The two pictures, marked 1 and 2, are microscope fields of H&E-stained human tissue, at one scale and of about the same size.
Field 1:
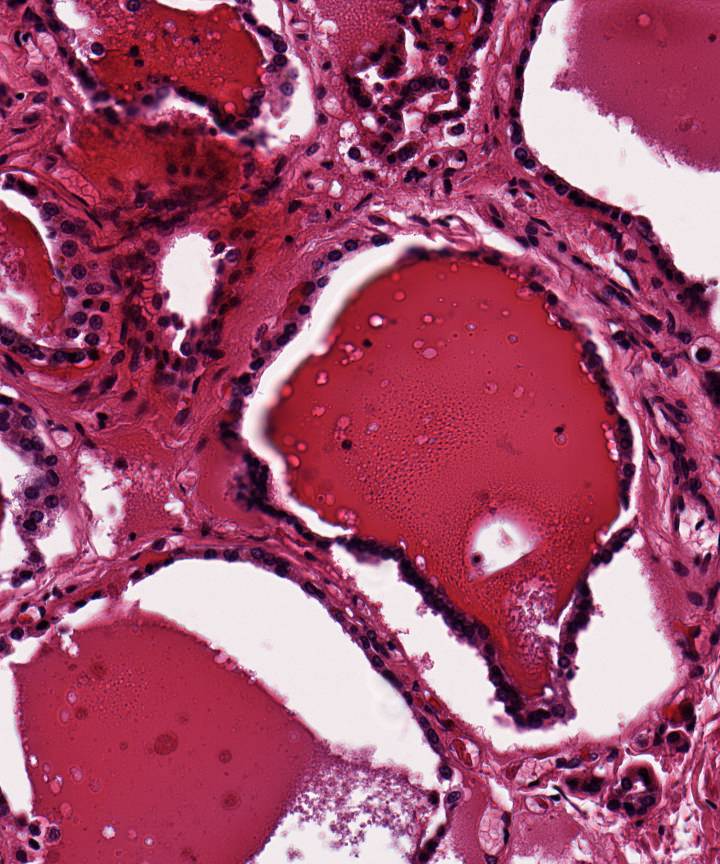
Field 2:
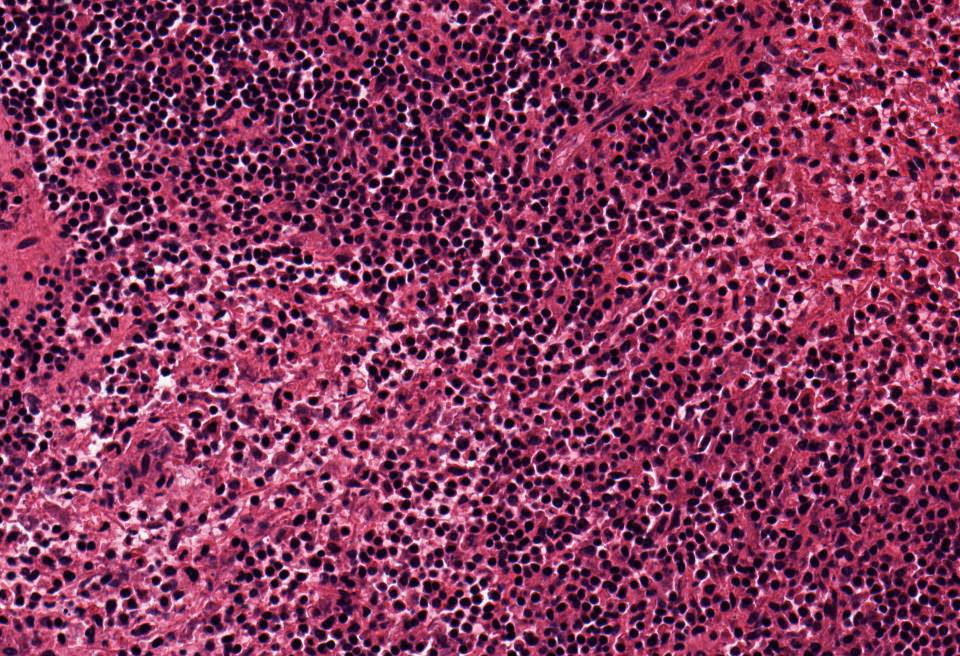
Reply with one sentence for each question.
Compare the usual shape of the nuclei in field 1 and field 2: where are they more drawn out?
Longer, more slender nuclei lie in field 1.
